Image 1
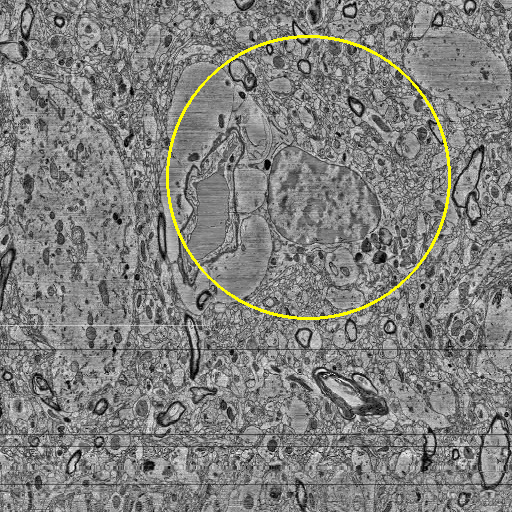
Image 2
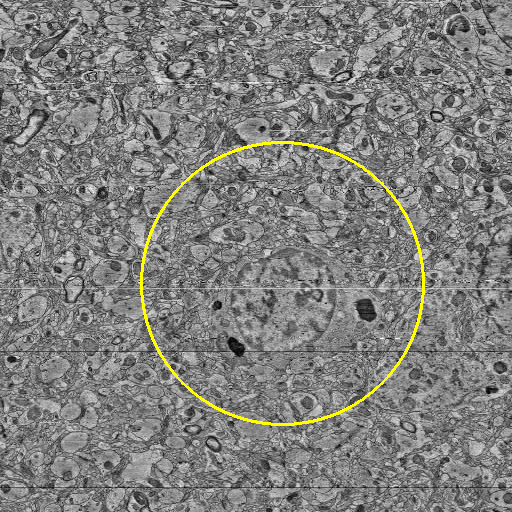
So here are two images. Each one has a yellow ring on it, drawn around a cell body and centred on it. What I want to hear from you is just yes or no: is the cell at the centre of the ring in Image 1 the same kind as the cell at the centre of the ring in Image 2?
no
